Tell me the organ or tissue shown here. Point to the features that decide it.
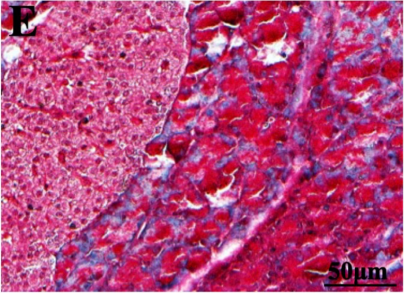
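A pale, rounded cluster of cells set apart from the surrounding tissue. Adjacent acini with intensely red cytoplasm separated by blue connective tissue. The answer: pancreas.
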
